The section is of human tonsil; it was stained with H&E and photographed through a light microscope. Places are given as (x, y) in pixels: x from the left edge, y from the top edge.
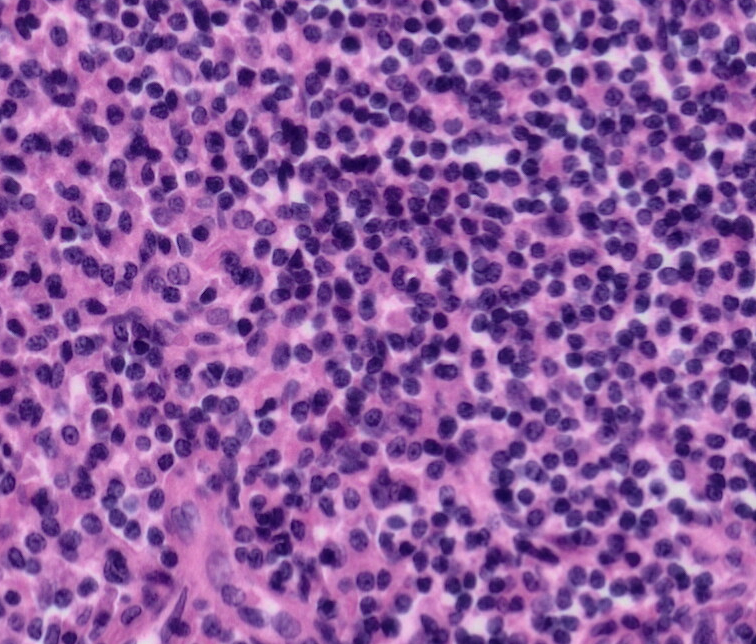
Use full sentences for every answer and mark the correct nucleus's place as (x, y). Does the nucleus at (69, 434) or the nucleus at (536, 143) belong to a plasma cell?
Of the pair, the nucleus located at (69, 434) belongs to a plasma cell.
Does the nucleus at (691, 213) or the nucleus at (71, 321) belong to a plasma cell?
The one nucleus of the two that belongs to a plasma cell is at (71, 321).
